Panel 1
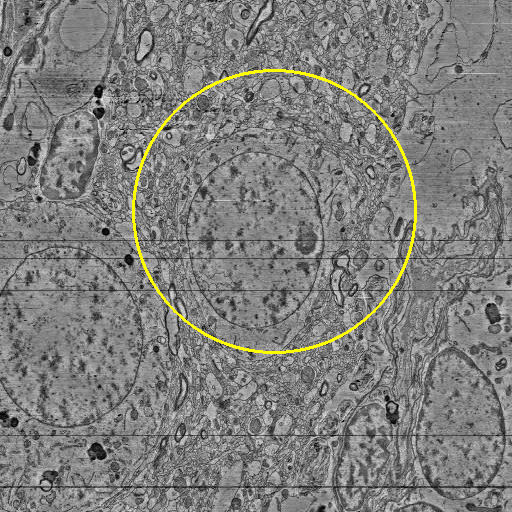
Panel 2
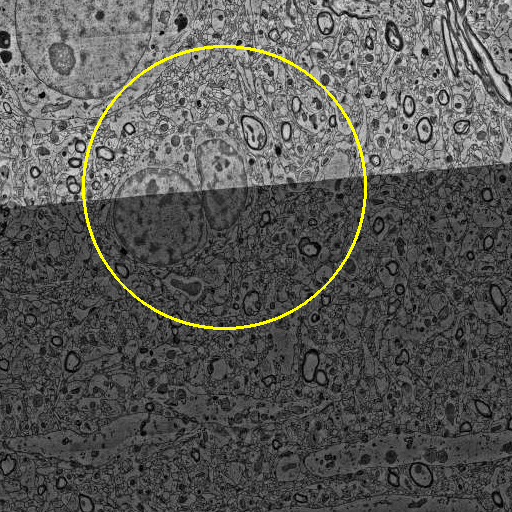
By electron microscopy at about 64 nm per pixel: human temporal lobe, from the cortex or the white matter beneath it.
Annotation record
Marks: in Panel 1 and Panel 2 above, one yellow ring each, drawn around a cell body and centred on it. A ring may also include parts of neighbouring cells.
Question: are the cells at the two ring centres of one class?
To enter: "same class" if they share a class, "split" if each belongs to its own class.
split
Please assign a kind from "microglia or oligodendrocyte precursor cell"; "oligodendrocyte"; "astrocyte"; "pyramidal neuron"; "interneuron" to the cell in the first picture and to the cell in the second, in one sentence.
In the first picture we have a pyramidal neuron, and in the second, an oligodendrocyte.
